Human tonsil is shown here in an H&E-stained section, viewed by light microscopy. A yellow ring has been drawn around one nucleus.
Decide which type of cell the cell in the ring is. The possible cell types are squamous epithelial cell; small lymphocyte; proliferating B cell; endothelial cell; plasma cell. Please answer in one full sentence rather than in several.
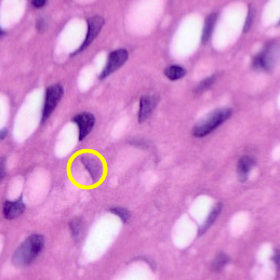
Cell type answer for this item: the cell in the ring is a squamous epithelial cell.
